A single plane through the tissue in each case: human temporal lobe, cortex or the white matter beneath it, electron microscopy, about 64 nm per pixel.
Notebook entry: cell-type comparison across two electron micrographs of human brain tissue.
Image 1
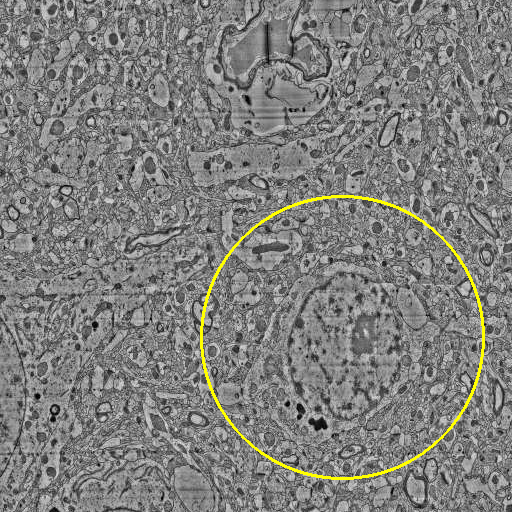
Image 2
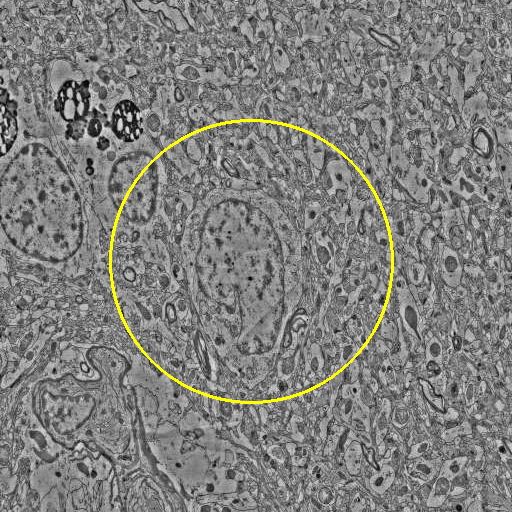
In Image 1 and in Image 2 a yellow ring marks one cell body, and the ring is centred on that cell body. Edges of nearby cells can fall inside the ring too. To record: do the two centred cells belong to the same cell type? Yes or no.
yes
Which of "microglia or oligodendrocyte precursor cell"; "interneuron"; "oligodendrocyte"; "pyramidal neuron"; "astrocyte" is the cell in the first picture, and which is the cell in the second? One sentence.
Each of the two rings surrounds an interneuron.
